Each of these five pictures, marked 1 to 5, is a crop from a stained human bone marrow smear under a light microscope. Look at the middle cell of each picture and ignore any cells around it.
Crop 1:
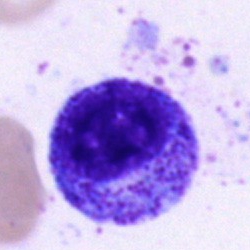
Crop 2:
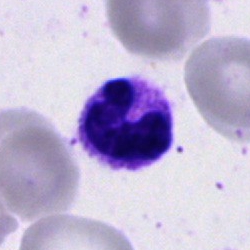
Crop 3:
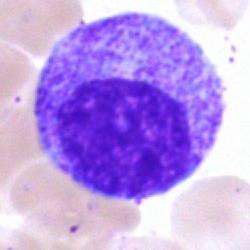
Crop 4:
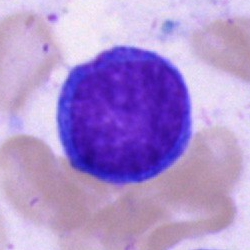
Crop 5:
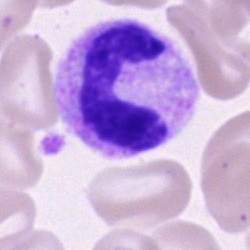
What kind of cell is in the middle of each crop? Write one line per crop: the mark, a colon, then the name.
1: promyelocyte
2: segmented neutrophil
3: myelocyte
4: blast
5: band neutrophil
